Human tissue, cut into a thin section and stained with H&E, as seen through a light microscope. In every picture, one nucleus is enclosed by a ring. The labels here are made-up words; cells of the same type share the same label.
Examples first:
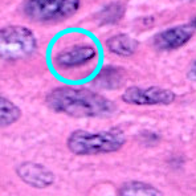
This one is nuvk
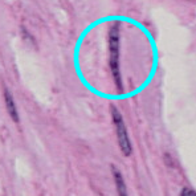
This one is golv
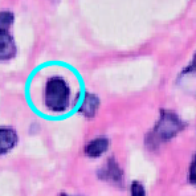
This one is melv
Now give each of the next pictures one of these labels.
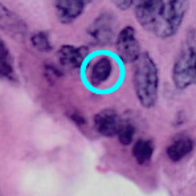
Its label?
nuvk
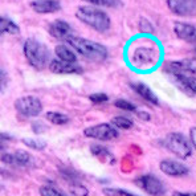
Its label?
nuvk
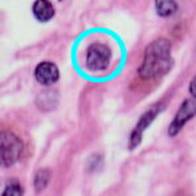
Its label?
melv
